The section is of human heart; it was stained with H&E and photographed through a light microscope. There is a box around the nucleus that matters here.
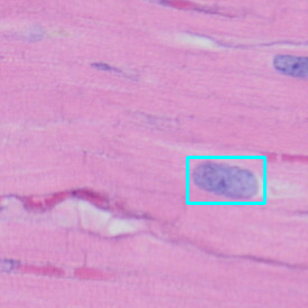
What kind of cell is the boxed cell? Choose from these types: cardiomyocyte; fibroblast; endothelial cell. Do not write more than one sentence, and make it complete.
In short, the boxed cell on this section is a cardiomyocyte.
